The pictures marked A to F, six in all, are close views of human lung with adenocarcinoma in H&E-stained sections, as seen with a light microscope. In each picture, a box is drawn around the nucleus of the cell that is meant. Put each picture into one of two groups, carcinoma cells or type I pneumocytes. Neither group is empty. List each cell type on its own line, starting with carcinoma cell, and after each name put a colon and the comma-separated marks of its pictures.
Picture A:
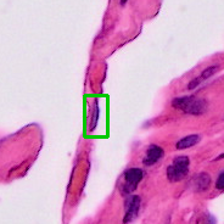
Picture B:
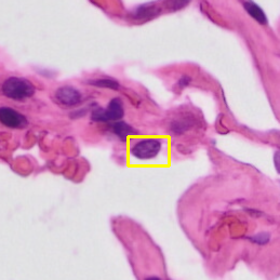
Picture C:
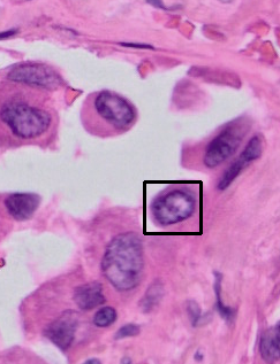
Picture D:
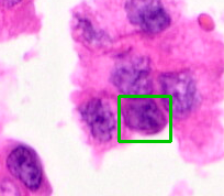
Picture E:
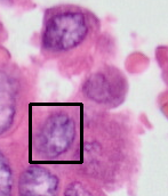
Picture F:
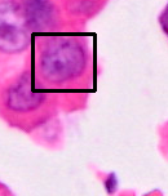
carcinoma cell: C, D, E, F
type I pneumocyte: A, B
